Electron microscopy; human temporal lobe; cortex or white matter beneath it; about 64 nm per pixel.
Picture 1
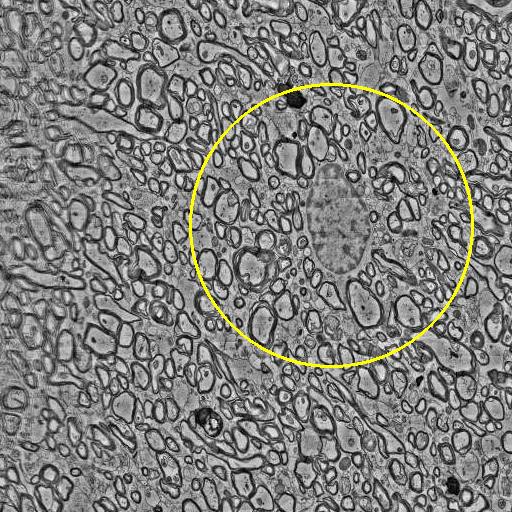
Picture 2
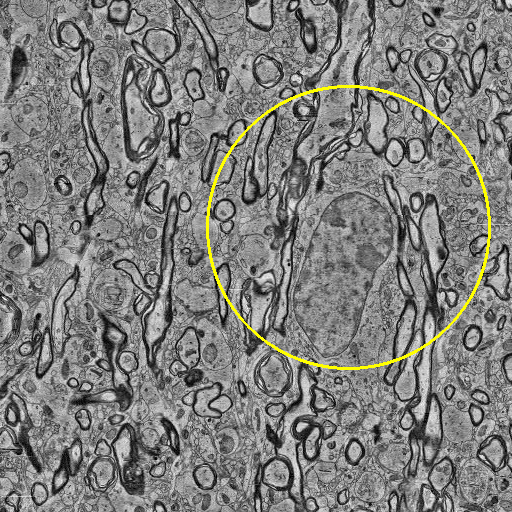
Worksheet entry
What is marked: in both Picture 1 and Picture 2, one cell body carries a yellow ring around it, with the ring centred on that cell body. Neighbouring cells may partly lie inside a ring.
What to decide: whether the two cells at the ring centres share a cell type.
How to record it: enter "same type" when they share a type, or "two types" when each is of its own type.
two types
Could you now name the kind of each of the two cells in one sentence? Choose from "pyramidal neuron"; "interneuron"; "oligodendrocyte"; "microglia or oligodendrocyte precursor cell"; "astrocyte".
The first ring encloses an oligodendrocyte; the second ring encloses a microglial cell or oligodendrocyte precursor cell.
